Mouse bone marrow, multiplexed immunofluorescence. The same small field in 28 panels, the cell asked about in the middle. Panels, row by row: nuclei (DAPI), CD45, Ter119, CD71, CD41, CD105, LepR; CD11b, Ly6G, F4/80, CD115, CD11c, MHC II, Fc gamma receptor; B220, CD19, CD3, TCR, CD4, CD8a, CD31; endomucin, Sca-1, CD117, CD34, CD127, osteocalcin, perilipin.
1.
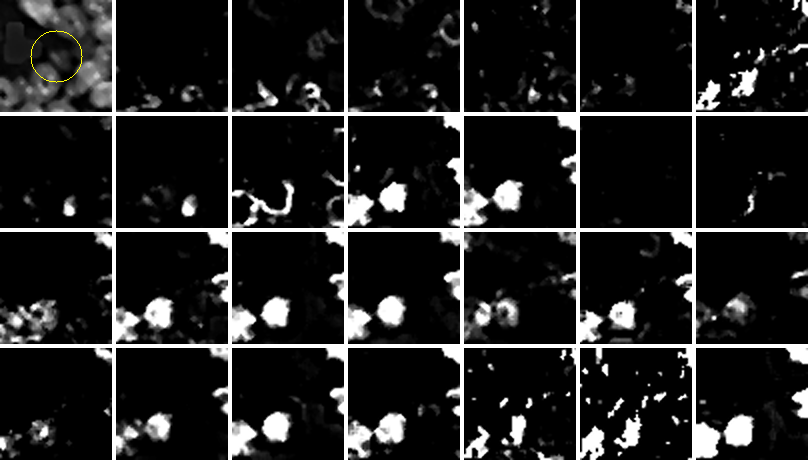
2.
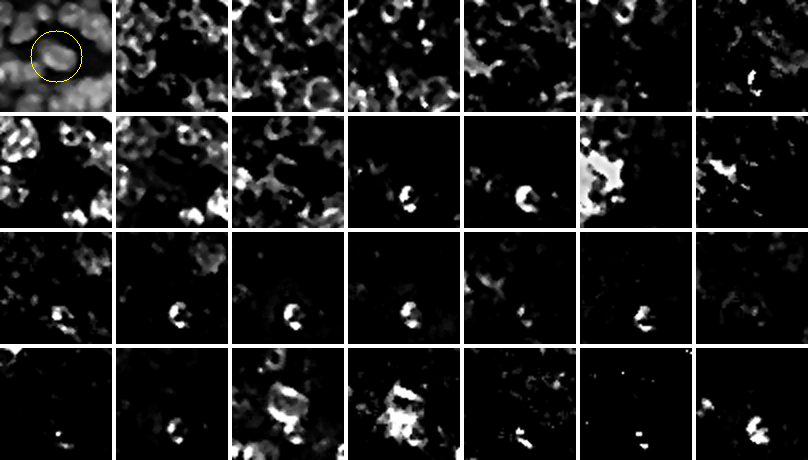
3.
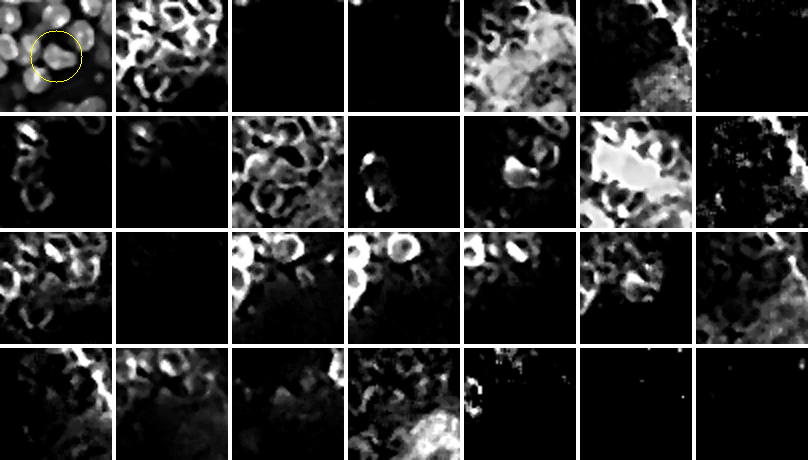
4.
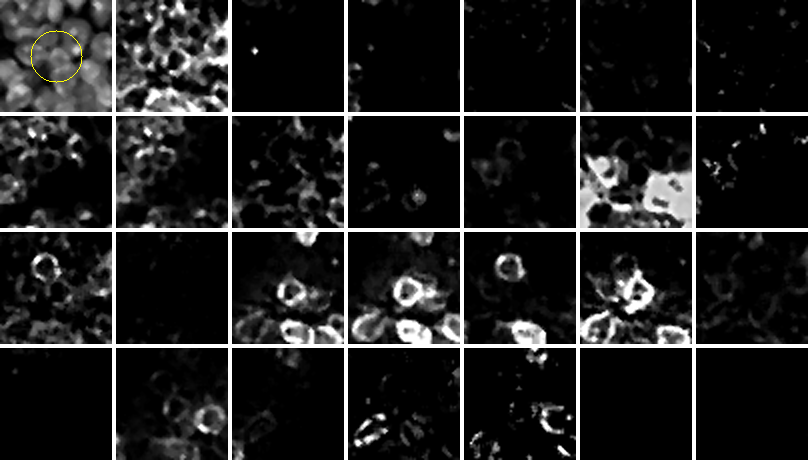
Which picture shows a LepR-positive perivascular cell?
Picture 1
